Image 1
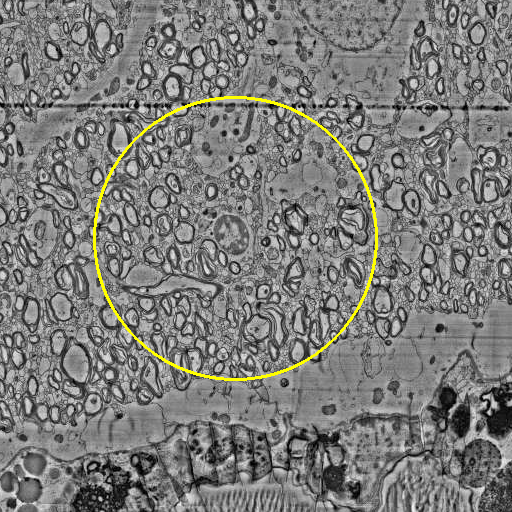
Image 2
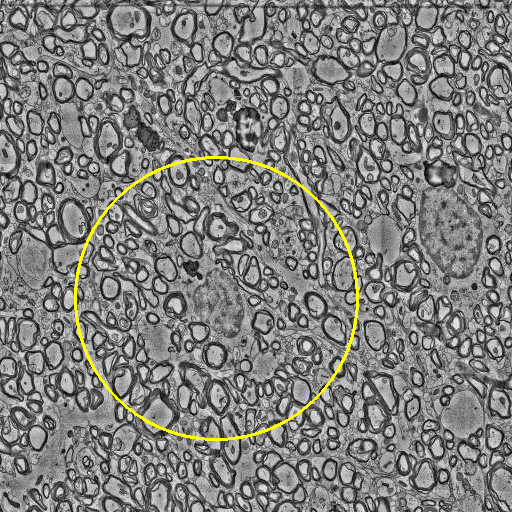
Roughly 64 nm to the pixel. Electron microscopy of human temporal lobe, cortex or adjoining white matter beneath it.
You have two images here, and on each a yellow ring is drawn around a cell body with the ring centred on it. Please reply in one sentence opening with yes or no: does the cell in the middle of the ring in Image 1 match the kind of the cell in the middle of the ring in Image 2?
No, the two images show cells of two kinds at the centres of their rings.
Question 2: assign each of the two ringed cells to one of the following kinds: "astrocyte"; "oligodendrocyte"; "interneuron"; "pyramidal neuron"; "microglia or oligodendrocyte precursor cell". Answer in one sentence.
The two cells are a microglial cell or oligodendrocyte precursor cell in the first picture and an oligodendrocyte in the second.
